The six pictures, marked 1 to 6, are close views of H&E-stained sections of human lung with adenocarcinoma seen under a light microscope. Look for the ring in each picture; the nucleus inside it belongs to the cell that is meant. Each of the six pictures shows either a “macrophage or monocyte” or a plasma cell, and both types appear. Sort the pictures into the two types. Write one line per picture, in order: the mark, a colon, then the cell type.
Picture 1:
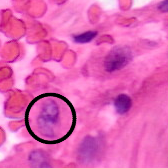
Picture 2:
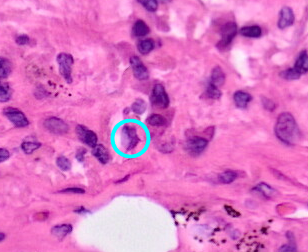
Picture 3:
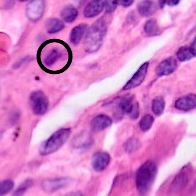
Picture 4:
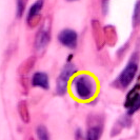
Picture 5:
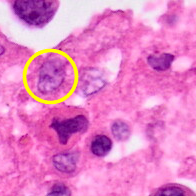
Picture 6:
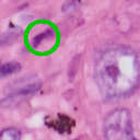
1: macrophage or monocyte
2: plasma cell
3: plasma cell
4: plasma cell
5: macrophage or monocyte
6: plasma cell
